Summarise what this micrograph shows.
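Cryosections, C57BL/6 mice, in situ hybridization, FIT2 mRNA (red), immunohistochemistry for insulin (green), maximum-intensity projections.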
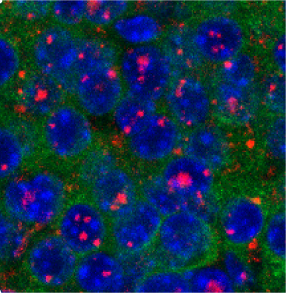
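At higher magnification, closely packed cells of pancreatic tissue are seen, each with a large, round to oval blue nucleus showing mottled chromatin. Discrete bright red puncta of varying size are distributed in many cells, some lying over the nuclei and others in the cytoplasm beside them, with a few cells carrying several puncta. No duct lumen or other structure interrupts the sheet of cells in this field.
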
